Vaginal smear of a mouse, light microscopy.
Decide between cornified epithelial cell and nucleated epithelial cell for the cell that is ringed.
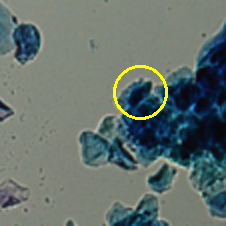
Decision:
I take the ringed cell for a nucleated epithelial cell.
